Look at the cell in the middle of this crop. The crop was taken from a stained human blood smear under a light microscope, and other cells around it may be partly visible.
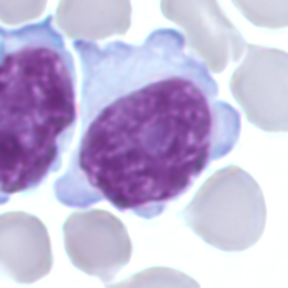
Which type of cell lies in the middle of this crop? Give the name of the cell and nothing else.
plasma cell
